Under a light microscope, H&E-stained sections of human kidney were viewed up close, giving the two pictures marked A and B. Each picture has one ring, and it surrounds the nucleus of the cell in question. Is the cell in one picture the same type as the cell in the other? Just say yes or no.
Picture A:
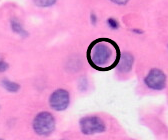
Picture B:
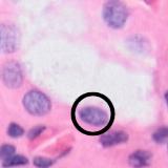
yes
